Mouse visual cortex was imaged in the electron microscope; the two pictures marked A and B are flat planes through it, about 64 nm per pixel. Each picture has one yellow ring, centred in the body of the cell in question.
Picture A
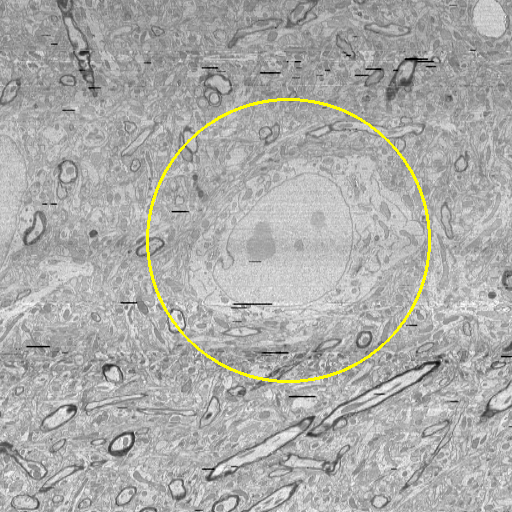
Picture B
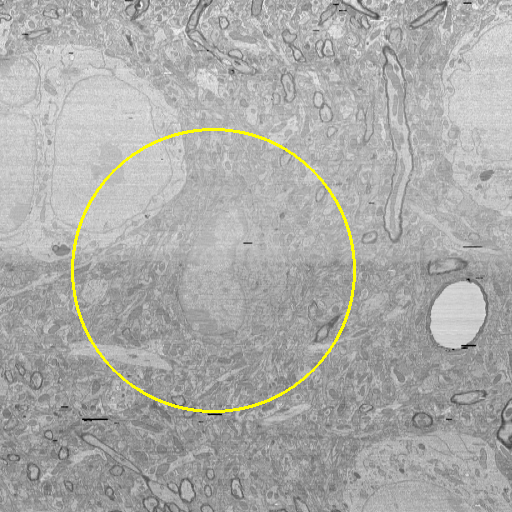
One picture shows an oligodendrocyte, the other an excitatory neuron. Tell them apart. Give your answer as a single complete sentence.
Picture B shows an oligodendrocyte, while picture A shows an excitatory neuron.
